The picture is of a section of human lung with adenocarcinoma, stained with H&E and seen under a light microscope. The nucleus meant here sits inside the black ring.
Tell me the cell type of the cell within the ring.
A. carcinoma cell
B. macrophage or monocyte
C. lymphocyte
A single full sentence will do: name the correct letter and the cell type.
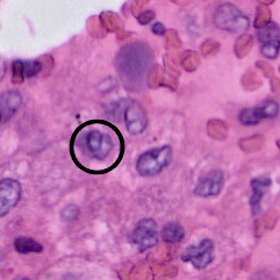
Exactly as option B gives it, the cell within the ring is a macrophage or monocyte.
